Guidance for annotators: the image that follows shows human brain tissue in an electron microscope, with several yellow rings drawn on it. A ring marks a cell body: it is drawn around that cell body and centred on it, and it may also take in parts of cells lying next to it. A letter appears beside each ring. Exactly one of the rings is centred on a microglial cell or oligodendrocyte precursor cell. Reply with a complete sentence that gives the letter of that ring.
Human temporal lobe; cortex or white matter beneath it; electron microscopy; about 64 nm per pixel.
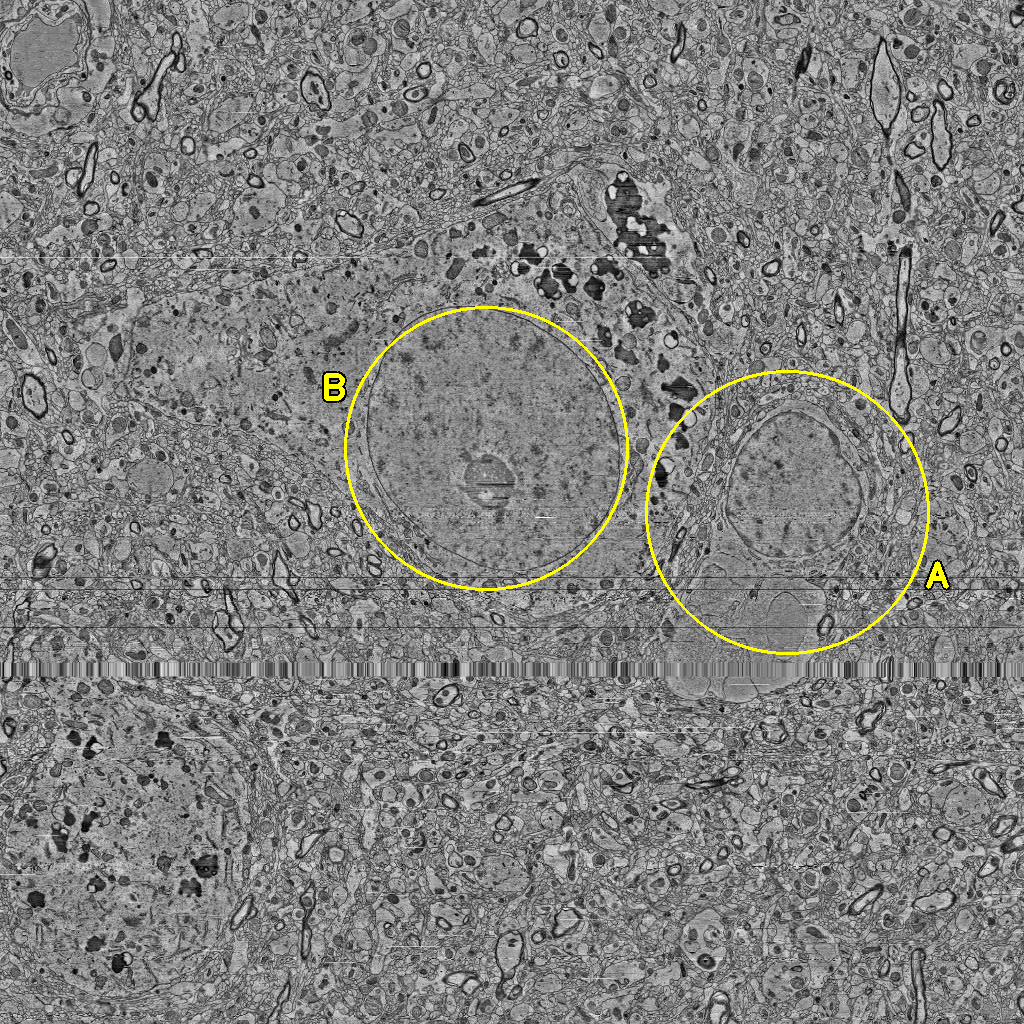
The ring lettered A is centred on that cell.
